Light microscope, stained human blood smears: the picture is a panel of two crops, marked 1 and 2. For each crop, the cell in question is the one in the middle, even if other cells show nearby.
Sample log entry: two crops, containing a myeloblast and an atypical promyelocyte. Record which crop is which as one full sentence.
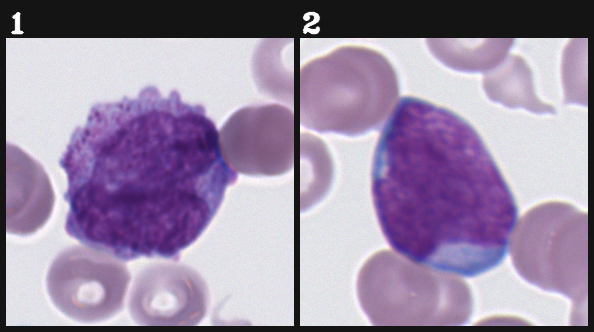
Recognised in crop 1 is an atypical promyelocyte, and recognised in crop 2 is a myeloblast.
